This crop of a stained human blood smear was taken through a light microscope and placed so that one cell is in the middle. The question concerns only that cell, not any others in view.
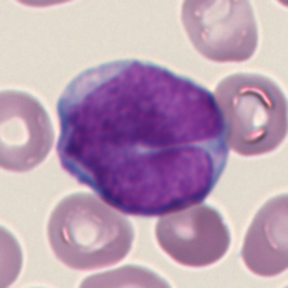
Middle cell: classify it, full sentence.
The cell sitting right in the middle is an atypical promyelocyte.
